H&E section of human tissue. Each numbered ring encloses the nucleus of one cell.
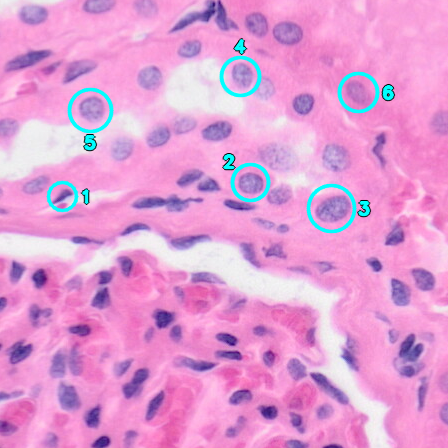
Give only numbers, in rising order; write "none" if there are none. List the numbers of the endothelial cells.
1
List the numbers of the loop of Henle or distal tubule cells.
2, 3, 4, 5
